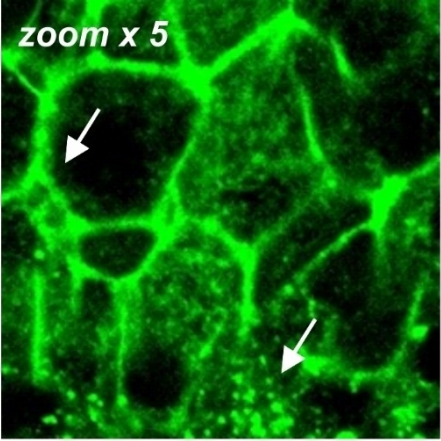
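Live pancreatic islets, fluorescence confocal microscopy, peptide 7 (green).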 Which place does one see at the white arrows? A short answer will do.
Surface and intracellular labeling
